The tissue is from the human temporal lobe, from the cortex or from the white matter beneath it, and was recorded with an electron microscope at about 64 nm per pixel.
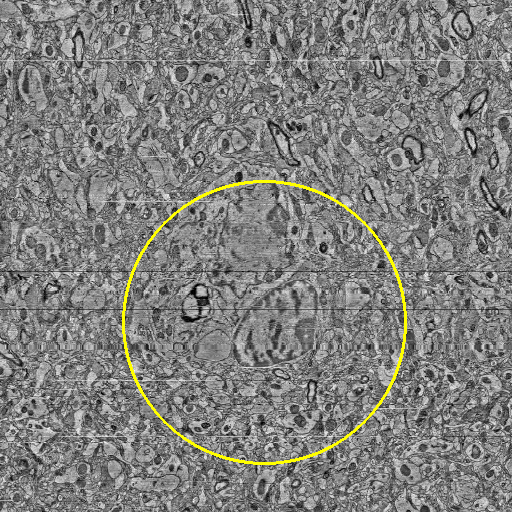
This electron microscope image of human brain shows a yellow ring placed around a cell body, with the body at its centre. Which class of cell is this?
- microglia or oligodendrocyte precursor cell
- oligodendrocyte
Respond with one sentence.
The cell body at the ring's centre is a microglial cell or oligodendrocyte precursor cell.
